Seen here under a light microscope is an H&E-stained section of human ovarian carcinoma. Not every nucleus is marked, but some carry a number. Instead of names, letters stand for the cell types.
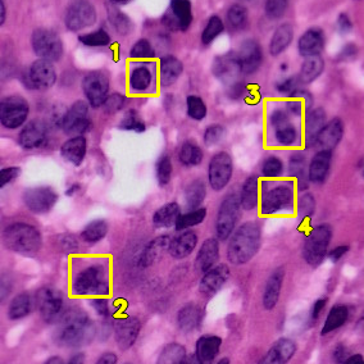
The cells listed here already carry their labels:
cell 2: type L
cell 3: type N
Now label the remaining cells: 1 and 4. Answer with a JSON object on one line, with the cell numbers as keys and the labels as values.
{"1": "type N", "4": "type L"}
